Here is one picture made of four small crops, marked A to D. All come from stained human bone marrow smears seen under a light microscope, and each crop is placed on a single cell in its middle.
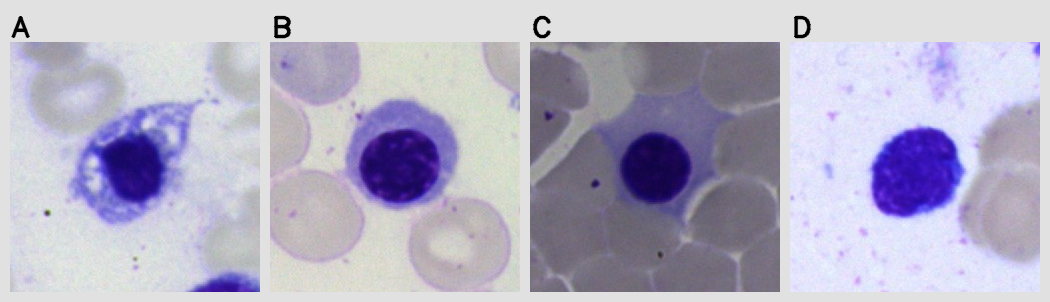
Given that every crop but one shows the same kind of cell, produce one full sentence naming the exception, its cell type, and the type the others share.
The single exception among the crops is crop D, which is a lymphocyte; the rest show normoblasts.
